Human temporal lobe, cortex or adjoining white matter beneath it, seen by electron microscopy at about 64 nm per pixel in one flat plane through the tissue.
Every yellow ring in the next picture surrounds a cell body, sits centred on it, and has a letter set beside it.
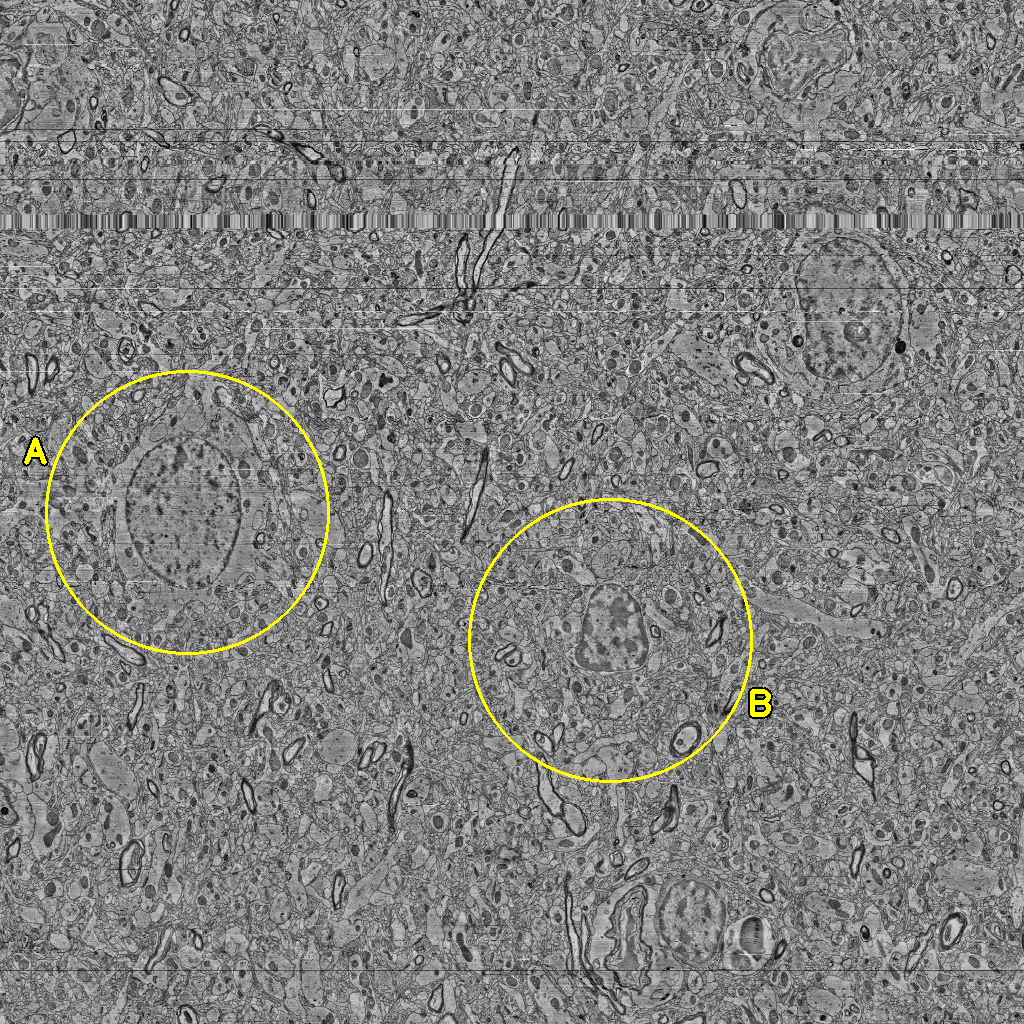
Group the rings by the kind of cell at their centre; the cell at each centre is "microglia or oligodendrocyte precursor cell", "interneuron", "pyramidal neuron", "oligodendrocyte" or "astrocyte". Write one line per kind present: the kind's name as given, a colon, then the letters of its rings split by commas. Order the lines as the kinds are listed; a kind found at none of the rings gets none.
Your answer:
microglia or oligodendrocyte precursor cell: B
astrocyte: A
